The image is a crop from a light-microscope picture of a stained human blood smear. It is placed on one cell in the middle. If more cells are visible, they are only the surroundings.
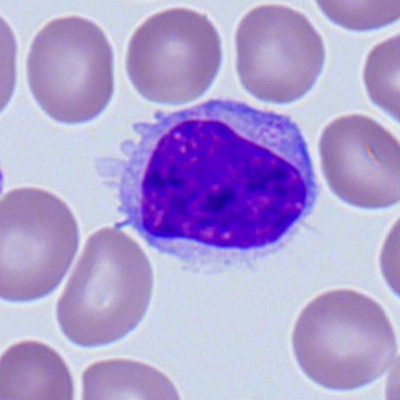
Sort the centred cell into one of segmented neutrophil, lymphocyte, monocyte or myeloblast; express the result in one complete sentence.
The center cell of this crop is a lymphocyte.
